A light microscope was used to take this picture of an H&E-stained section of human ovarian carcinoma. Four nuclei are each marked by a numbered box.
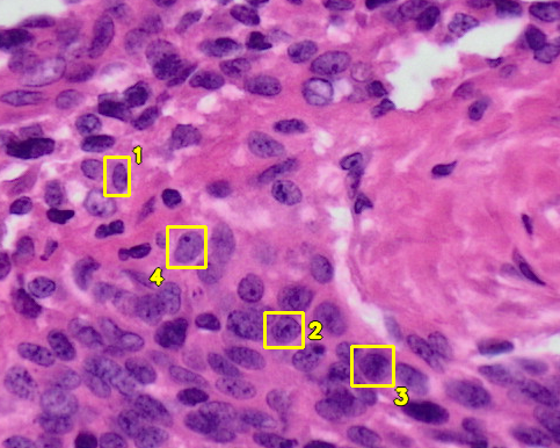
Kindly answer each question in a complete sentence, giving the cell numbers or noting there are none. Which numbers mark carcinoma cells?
The cells picked out by numbers 2 and 3 are carcinoma cells.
